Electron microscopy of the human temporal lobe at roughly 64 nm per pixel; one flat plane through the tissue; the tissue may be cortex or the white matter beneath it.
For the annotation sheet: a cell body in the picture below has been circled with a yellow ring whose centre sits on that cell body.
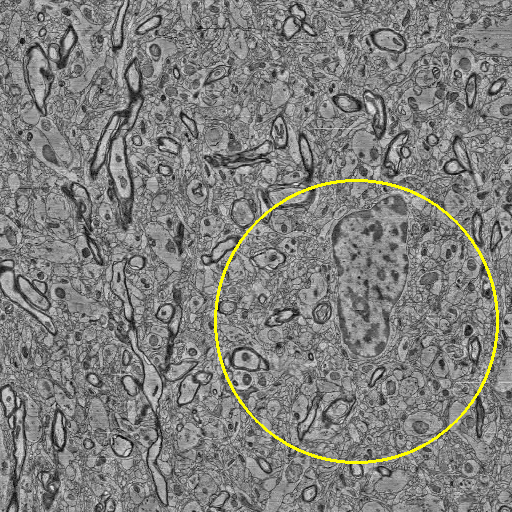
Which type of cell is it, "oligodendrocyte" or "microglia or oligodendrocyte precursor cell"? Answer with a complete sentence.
The circled cell is a microglial cell or oligodendrocyte precursor cell.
